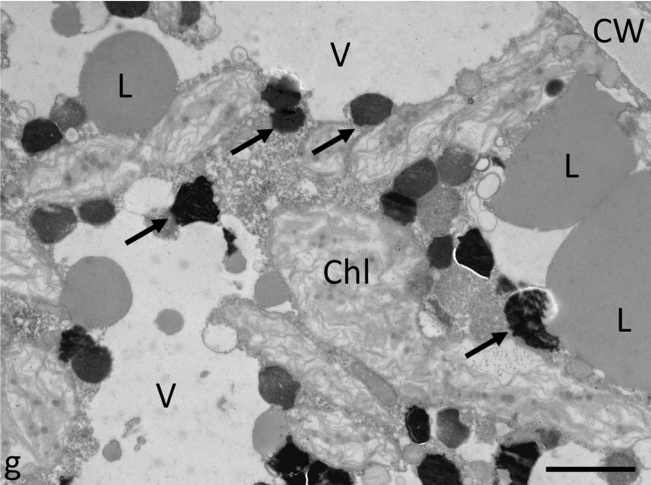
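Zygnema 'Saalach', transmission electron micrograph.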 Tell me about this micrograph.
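Large round, smooth, evenly grey lipid bodies sit at the edges of the cytoplasmic strands and bulge into the pale vacuole spaces. Between them run chloroplast lobes that appear pale with many fine wavy membranes. Numerous small, very dark, nearly black bodies of irregular rounded shape are scattered along the chloroplast lobes and in close contact with them. The cell wall appears as a smooth grey band at the upper right corner.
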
